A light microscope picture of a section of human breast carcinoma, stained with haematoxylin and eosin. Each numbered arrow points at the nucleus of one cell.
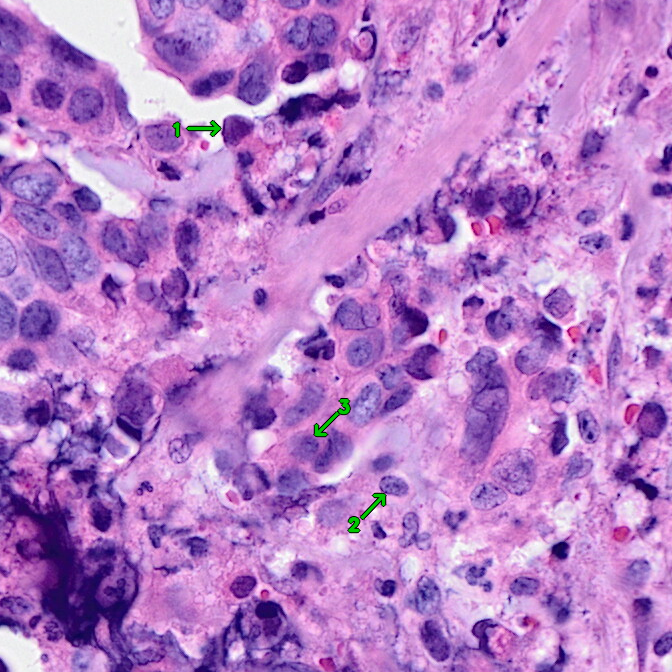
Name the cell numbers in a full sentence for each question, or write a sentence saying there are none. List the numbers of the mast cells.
Among the labelled cells, only the cell labelled 2 is a mast cell.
